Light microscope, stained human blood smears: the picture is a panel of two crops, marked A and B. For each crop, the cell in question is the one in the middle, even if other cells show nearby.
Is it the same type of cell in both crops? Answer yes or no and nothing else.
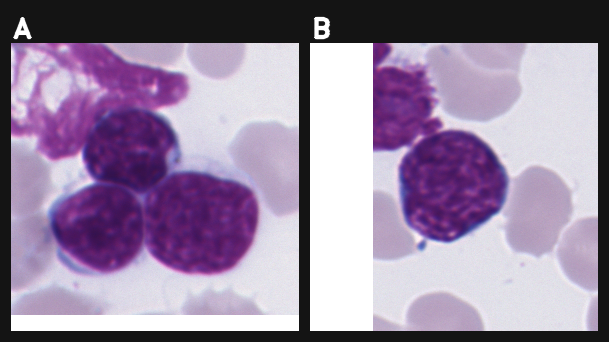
yes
